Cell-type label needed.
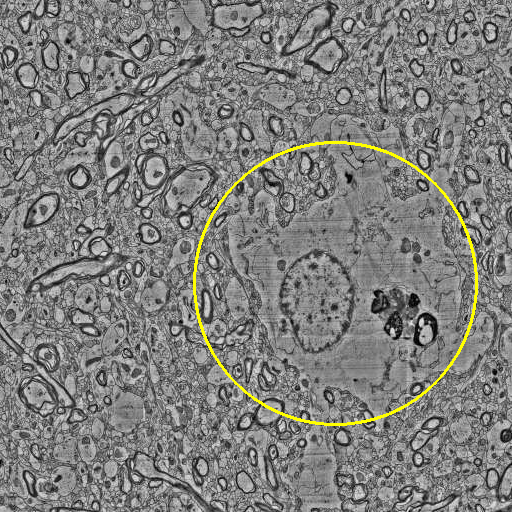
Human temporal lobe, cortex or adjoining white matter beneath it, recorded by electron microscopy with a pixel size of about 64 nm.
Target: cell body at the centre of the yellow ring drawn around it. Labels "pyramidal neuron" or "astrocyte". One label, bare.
astrocyte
